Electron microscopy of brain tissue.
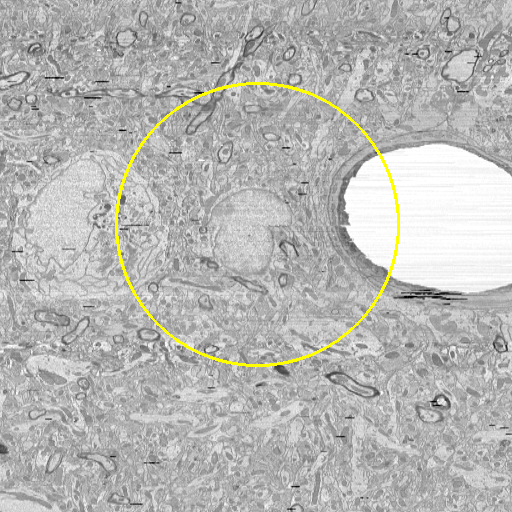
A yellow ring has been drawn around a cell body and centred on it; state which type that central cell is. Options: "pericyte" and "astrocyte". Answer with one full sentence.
The cell at the middle of the yellow ring is an astrocyte in this picture.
